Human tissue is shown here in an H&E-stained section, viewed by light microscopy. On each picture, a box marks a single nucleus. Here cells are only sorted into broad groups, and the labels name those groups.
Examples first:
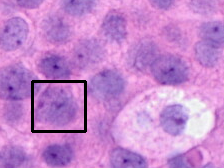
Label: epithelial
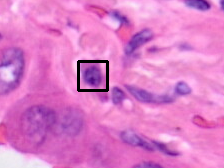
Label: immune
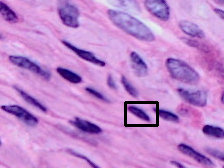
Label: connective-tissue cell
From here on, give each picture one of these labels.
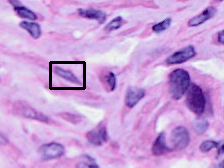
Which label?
connective-tissue cell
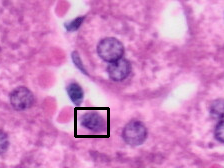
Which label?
immune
